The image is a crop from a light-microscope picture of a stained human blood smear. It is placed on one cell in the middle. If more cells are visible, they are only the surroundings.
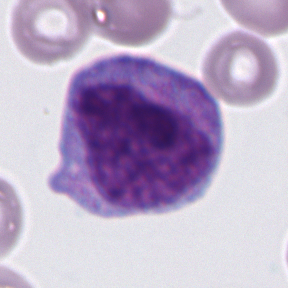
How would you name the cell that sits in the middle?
atypical promyelocyte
